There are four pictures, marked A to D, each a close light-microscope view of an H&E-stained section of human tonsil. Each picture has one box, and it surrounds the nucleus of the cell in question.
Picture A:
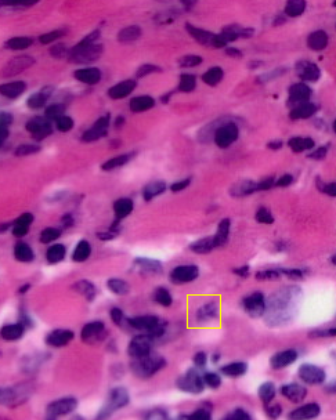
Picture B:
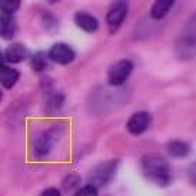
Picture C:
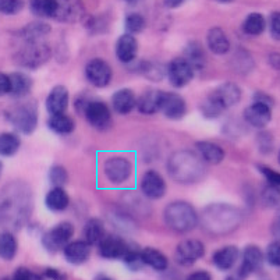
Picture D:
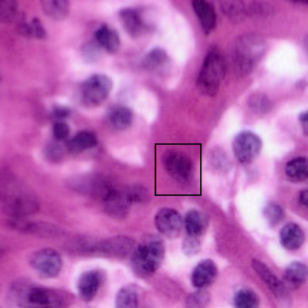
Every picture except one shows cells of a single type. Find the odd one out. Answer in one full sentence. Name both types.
All pictures except D show endothelial cells; picture D shows a squamous epithelial cell.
